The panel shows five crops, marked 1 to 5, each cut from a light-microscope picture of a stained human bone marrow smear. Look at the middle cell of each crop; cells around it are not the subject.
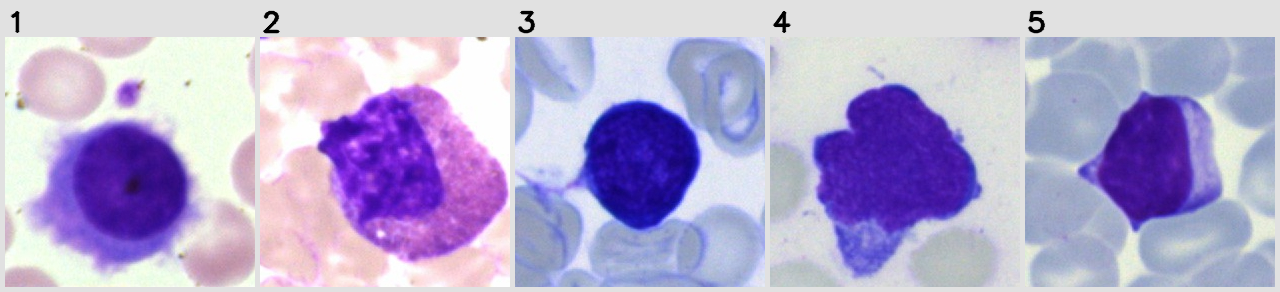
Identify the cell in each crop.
1: hairy cell
2: eosinophil
3: lymphocyte
4: blast
5: lymphocyte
